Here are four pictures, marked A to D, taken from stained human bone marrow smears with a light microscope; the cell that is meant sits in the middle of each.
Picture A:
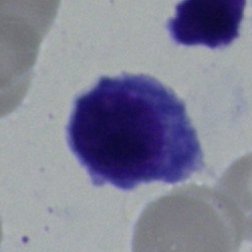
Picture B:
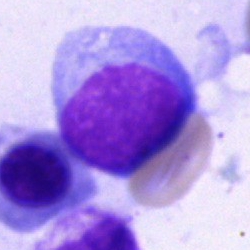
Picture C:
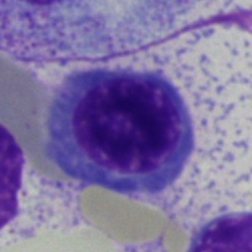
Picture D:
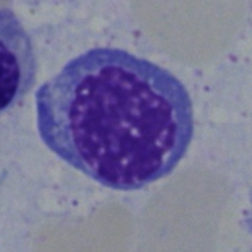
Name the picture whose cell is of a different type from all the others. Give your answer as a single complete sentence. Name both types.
The different one is picture B; it shows a blast, whereas all the others show erythroblasts.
